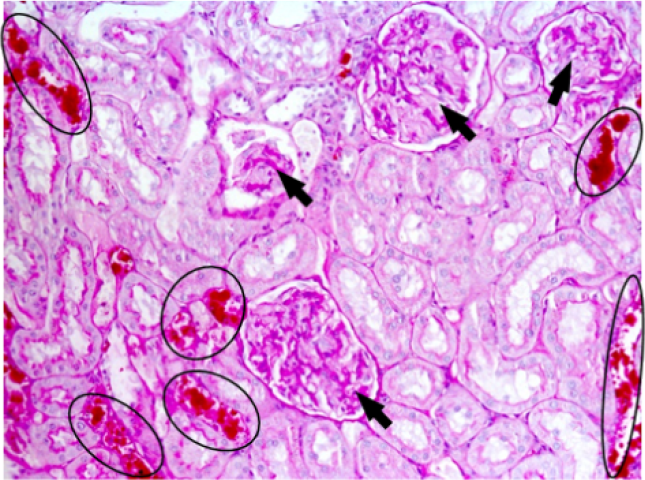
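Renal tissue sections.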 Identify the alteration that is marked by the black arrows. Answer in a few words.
diffuse sclerosis and increased mesangial matrix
